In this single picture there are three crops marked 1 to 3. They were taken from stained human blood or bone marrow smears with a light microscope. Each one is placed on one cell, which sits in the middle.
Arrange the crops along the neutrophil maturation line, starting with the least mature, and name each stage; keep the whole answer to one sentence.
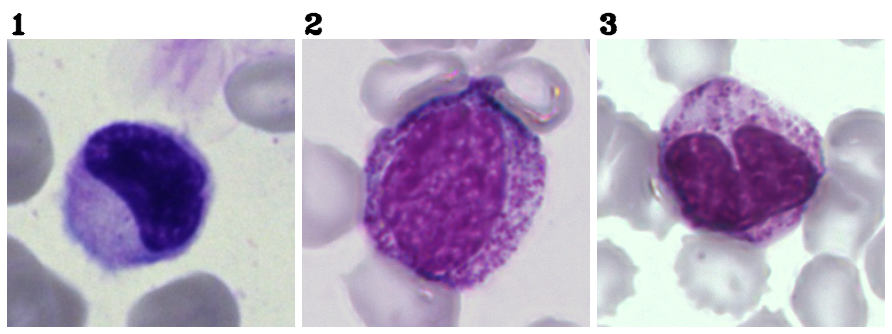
The sequence of maturation runs crop 2 (a promyelocyte), crop 1 (a metamyelocyte) and crop 3 (a band neutrophil), from least to most mature.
